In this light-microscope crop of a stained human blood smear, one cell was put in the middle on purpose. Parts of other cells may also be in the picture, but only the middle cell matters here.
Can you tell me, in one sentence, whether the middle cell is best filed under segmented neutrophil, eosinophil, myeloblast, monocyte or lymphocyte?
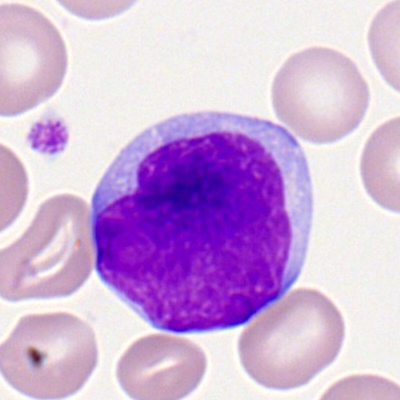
The cell that lies at the centre of the crop is a myeloblast.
